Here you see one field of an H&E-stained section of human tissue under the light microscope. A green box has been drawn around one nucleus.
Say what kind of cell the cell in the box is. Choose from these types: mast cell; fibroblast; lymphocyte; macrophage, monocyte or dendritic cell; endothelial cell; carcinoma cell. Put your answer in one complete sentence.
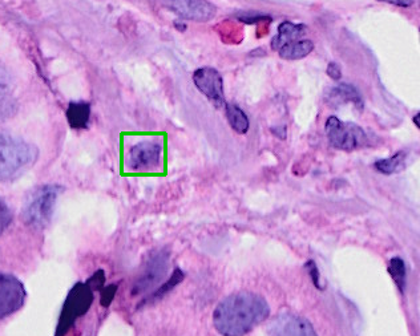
It is as a macrophage, monocyte or dendritic cell that the cell in the box is classified.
